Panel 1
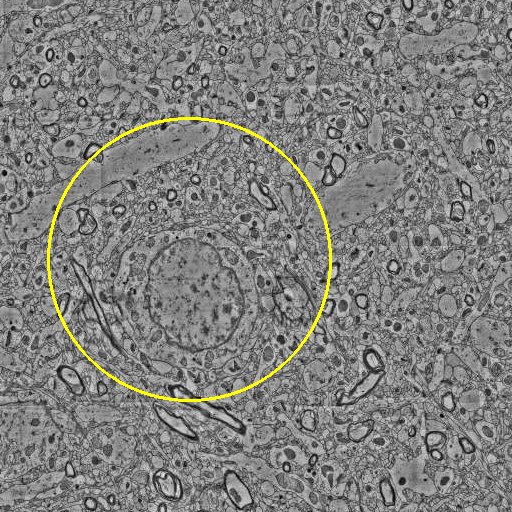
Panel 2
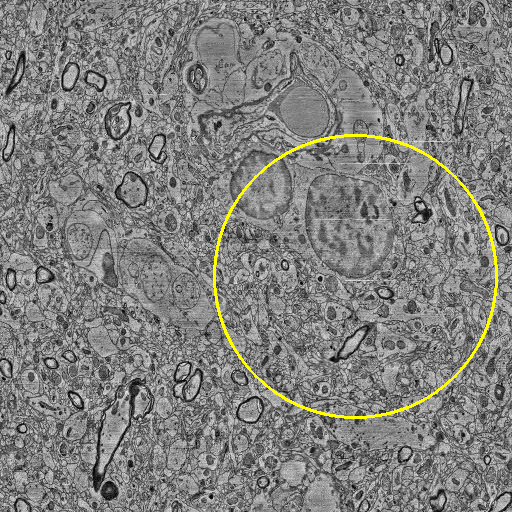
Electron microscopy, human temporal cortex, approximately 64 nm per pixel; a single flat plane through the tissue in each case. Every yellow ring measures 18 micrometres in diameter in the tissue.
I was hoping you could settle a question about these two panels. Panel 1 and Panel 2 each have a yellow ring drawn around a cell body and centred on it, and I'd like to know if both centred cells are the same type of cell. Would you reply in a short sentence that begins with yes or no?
No, they are two types of cell.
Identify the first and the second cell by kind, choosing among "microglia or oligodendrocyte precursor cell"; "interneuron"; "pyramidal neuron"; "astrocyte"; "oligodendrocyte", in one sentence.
The one in the first picture is a pyramidal neuron, while the one in the second is an oligodendrocyte.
